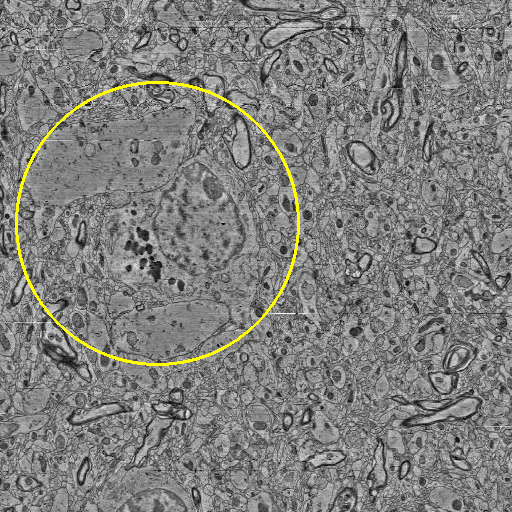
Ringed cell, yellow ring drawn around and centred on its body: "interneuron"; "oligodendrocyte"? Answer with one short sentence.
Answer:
This ringed cell is an interneuron.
